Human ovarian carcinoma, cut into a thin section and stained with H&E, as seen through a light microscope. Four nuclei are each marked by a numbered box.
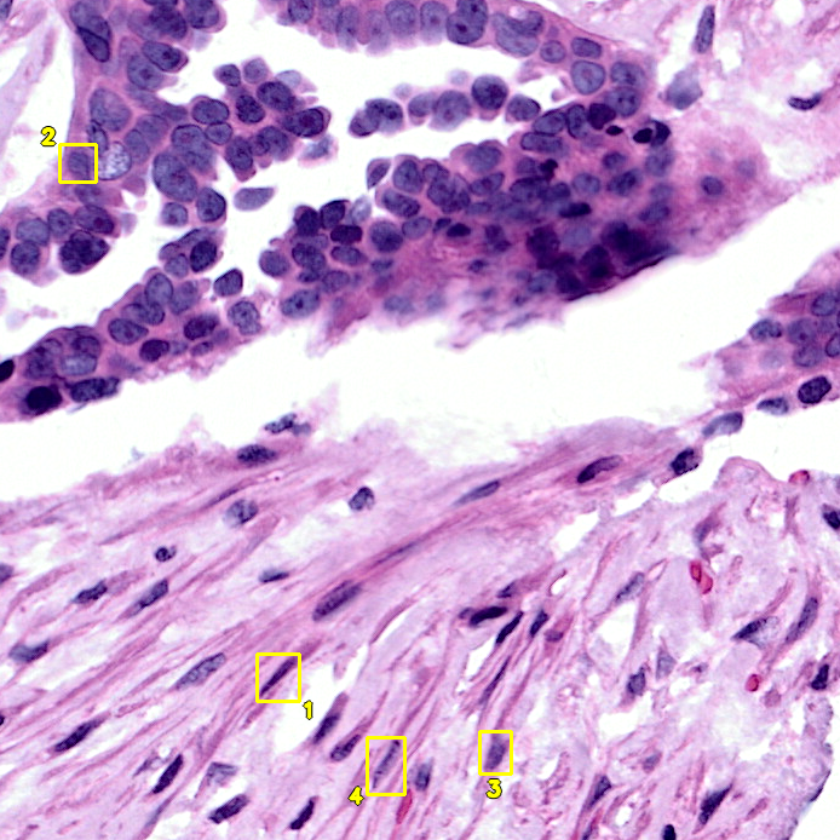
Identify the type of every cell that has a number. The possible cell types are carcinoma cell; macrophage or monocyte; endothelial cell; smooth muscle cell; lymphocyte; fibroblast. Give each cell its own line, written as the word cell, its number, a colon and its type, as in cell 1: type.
cell 1: fibroblast
cell 2: carcinoma cell
cell 3: fibroblast
cell 4: fibroblast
